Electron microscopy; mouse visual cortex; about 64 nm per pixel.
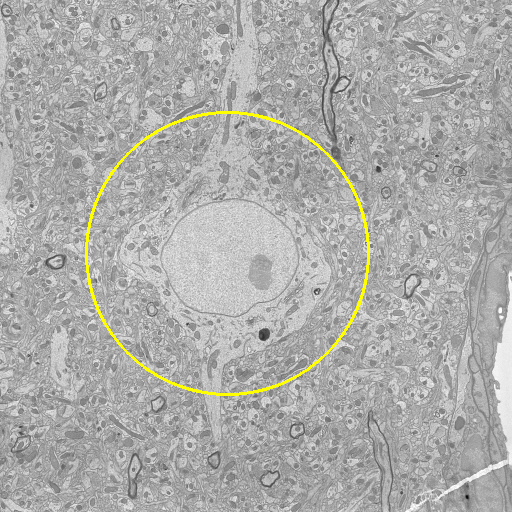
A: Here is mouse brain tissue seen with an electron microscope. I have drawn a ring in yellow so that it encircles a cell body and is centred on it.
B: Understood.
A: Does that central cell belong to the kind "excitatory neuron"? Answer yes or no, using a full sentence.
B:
Yes, the central cell inside your yellow ring belongs to that kind.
